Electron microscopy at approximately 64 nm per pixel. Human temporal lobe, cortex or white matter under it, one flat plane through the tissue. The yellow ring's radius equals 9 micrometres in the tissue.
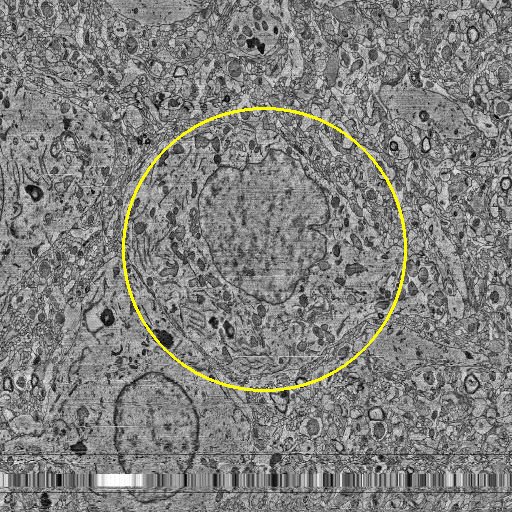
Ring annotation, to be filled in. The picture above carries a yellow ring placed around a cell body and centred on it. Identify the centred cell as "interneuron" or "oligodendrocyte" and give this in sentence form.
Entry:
The cell in the middle of the ring is an interneuron.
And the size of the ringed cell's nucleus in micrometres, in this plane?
About 10 micrometres by about 9 micrometres in this plane.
